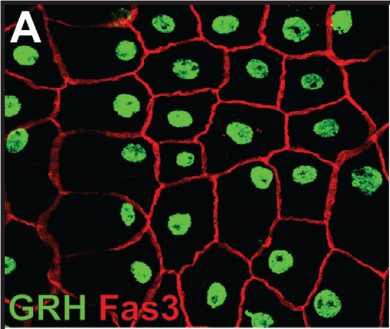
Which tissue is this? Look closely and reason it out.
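A single flat sheet of polygonal cells outlined by red borders. Cells are large and tightly packed without gaps. The answer: larval epidermal tissue.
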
